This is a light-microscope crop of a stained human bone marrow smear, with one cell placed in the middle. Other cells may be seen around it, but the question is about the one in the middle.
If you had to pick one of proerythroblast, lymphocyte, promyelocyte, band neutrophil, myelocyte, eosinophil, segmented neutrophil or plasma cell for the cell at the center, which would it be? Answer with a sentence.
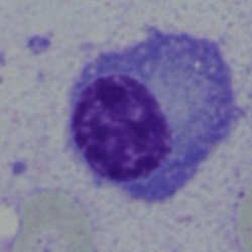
As for the central cell, it is a plasma cell.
